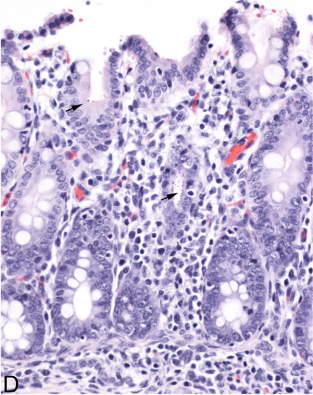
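Large intestinal mucosa with irregular crypts and a ragged surface epithelium. The lamina propria between crypts is crowded with small round cells with dark nuclei.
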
